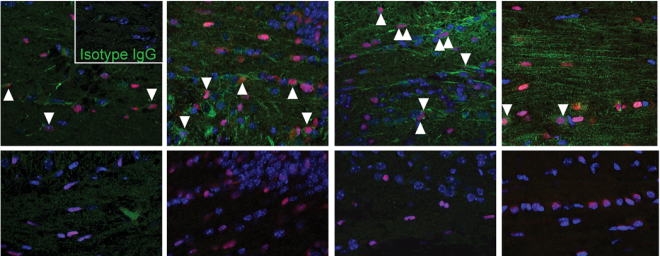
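Two rows of small fluorescence fields show tissue scattered with oval nuclei, some blue only and some with red nuclear staining. In the upper row, green staining outlines cell bodies and fine fibre-like streaks, and white arrowheads point to red-nucleated cells carrying green signal. In the lower row, the green is faint and diffuse around the red nuclei.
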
